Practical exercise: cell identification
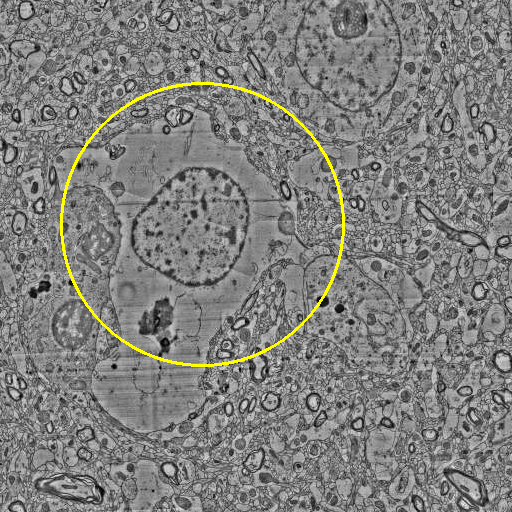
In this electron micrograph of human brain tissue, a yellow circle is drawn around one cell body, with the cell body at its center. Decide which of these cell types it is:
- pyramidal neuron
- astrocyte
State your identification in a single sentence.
The ringed cell is an astrocyte.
